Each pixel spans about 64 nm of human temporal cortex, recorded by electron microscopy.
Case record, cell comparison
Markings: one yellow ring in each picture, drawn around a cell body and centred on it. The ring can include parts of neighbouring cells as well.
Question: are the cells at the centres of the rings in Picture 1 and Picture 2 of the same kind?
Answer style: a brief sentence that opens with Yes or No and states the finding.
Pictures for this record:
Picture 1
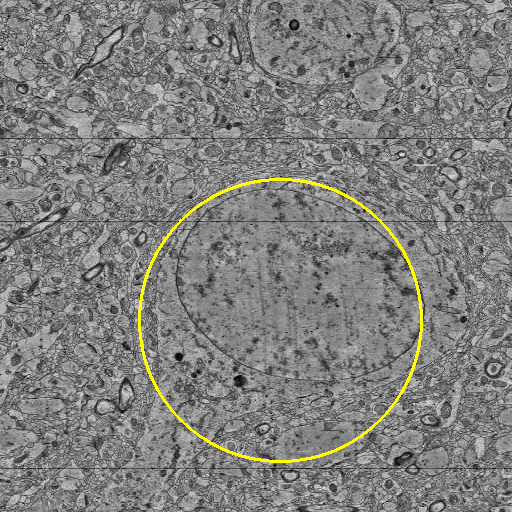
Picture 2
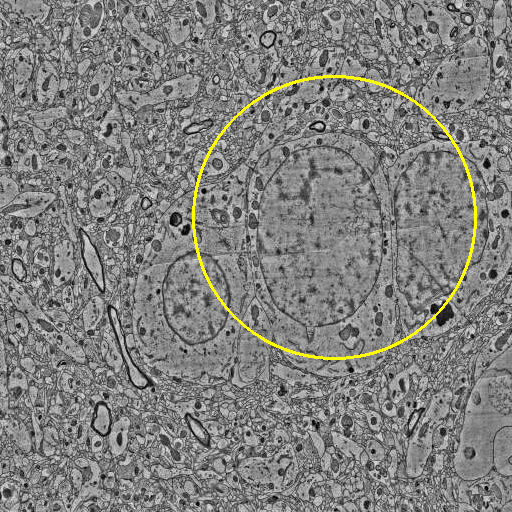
Yes, the cells in Picture 1 and Picture 2 are of the same kind.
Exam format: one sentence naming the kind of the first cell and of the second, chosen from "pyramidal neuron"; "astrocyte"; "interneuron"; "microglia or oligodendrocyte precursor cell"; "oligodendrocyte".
Both rings mark a pyramidal neuron, one in each picture.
